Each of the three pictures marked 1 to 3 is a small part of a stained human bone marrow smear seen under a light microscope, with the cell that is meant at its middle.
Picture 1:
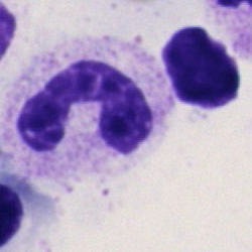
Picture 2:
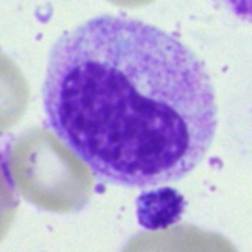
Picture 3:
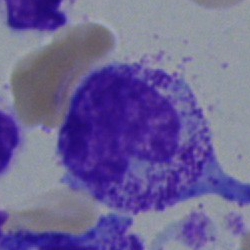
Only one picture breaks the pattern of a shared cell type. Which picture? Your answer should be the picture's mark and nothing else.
1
